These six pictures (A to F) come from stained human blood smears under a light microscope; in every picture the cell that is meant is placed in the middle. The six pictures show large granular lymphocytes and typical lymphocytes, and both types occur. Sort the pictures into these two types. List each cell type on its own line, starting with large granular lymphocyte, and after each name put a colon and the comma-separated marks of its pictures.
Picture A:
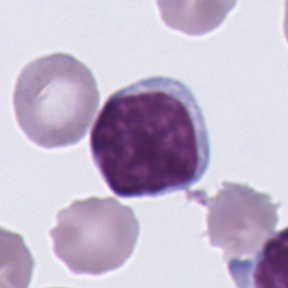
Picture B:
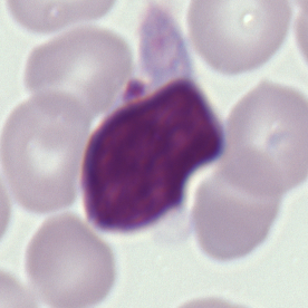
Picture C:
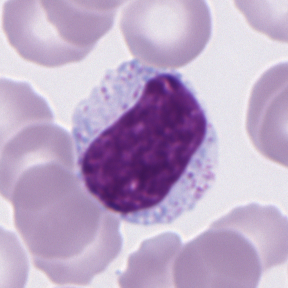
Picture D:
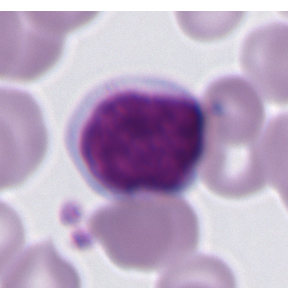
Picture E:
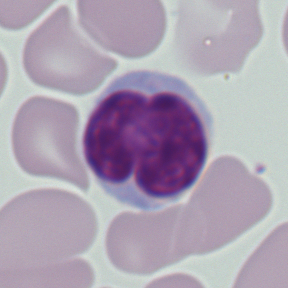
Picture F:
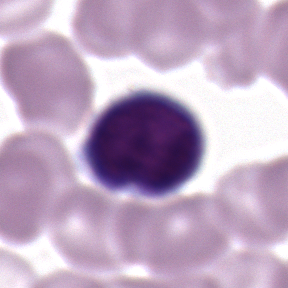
large granular lymphocyte: C, D
typical lymphocyte: A, B, E, F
